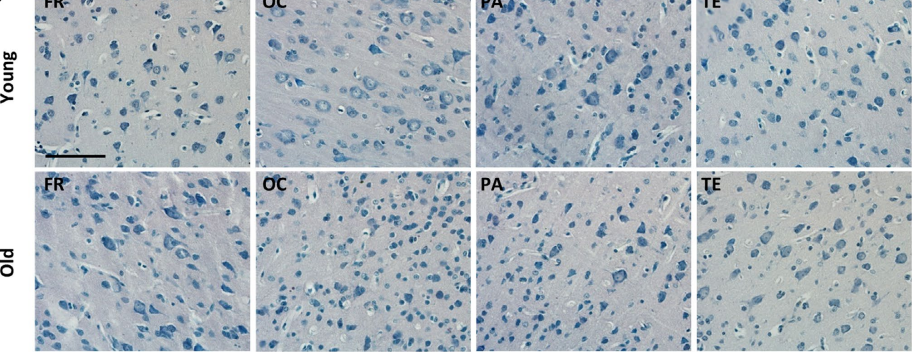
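The stain colours cell bodies blue against a pale lilac background of fibres. The larger cells have angular or triangular bodies filled with blue-staining cytoplasm and a paler round nucleus, and several taper into a process leading off in one direction. Among them lie many smaller, darker, round or elongated nuclei with little cytoplasm visible around them.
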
